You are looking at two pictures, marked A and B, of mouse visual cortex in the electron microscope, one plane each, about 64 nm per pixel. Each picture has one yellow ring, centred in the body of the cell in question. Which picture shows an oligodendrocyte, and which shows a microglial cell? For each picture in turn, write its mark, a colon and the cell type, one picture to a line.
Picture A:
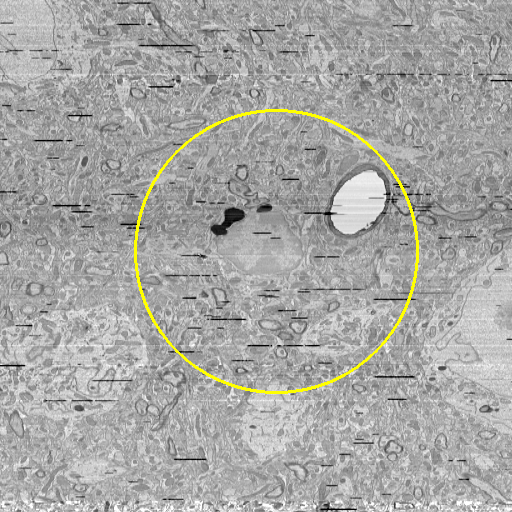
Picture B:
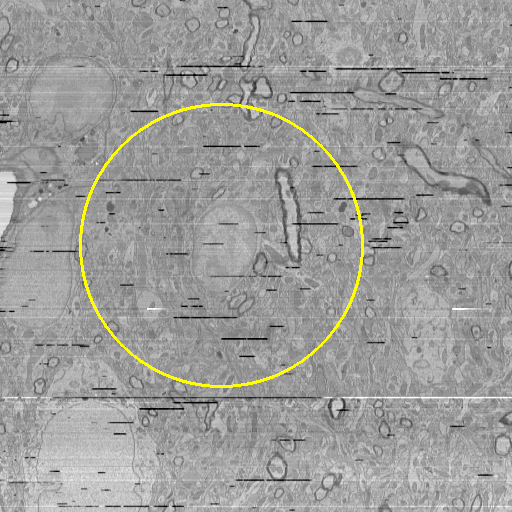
A: microglial cell
B: oligodendrocyte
